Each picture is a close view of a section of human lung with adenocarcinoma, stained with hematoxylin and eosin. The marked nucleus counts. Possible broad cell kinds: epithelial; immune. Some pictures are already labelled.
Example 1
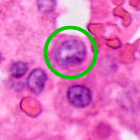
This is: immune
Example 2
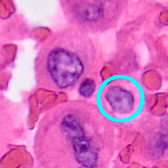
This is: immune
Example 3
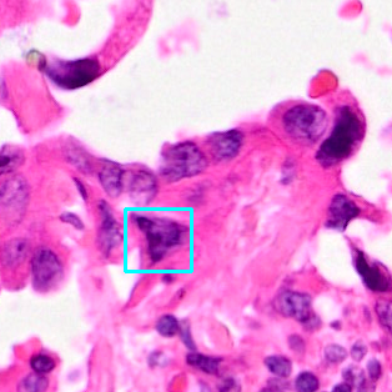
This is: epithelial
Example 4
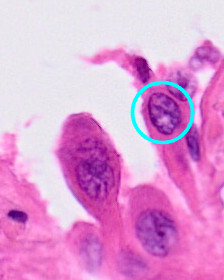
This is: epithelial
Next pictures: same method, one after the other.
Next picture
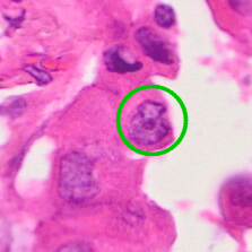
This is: epithelial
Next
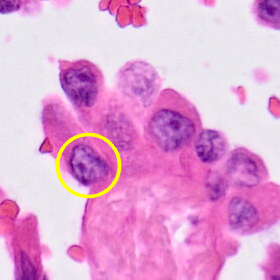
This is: epithelial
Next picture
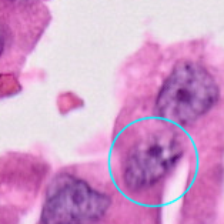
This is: epithelial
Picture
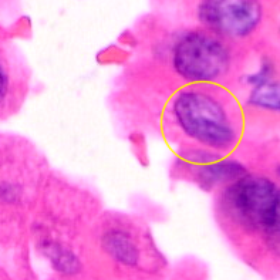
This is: epithelial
